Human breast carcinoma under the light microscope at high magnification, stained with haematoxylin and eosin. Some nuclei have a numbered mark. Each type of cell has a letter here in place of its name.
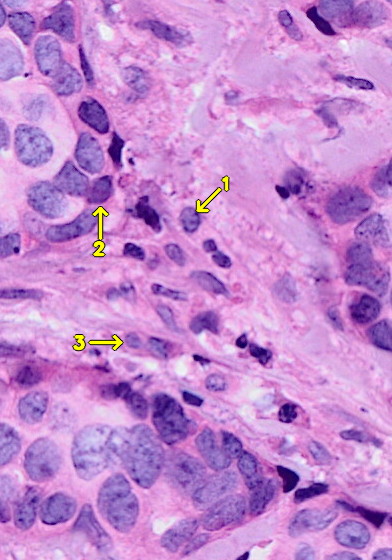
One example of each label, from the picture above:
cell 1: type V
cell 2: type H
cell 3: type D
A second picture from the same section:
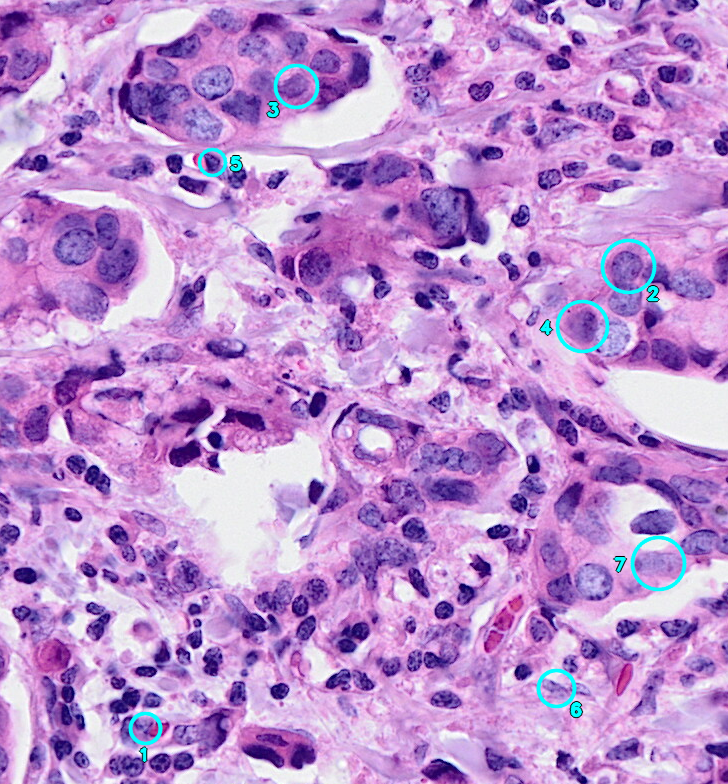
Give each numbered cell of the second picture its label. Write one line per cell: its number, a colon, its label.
1: type D
2: type H
3: type H
4: type H
5: type D
6: type V
7: type H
